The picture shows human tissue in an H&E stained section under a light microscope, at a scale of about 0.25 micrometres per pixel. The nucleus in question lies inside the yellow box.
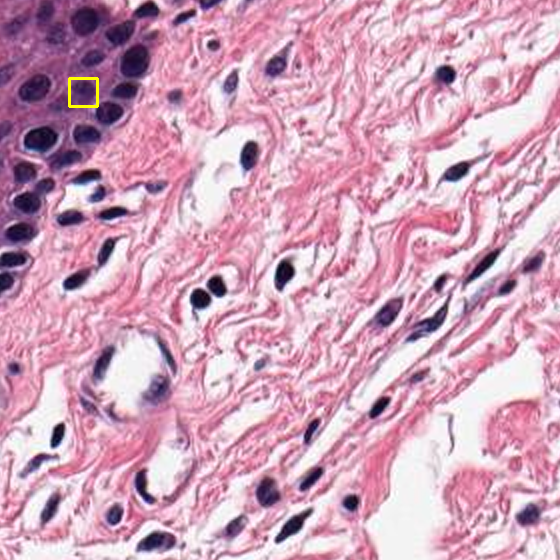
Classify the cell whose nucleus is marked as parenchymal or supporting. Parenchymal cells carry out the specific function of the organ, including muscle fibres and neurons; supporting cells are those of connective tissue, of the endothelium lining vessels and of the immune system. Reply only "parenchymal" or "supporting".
parenchymal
